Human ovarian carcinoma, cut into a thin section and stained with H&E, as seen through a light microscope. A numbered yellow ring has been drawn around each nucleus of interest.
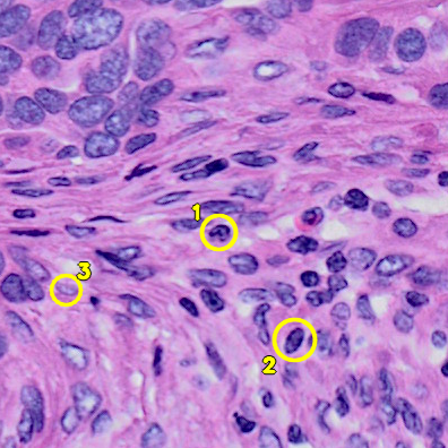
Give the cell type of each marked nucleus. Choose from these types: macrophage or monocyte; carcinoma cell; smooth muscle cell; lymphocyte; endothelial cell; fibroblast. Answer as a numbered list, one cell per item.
1. lymphocyte
2. lymphocyte
3. fibroblast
